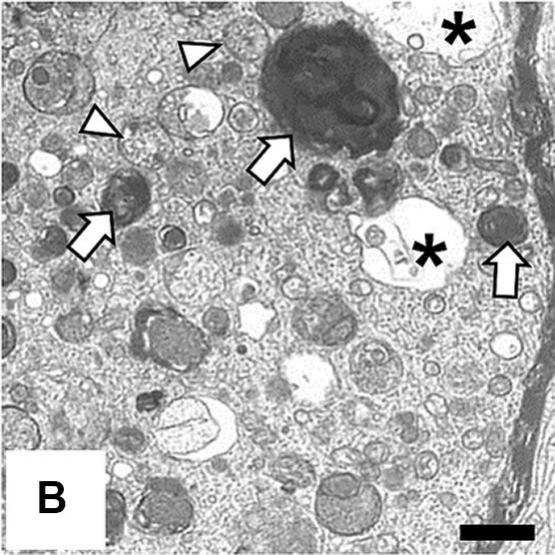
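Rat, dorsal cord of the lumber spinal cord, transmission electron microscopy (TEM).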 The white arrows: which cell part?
dense bodies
